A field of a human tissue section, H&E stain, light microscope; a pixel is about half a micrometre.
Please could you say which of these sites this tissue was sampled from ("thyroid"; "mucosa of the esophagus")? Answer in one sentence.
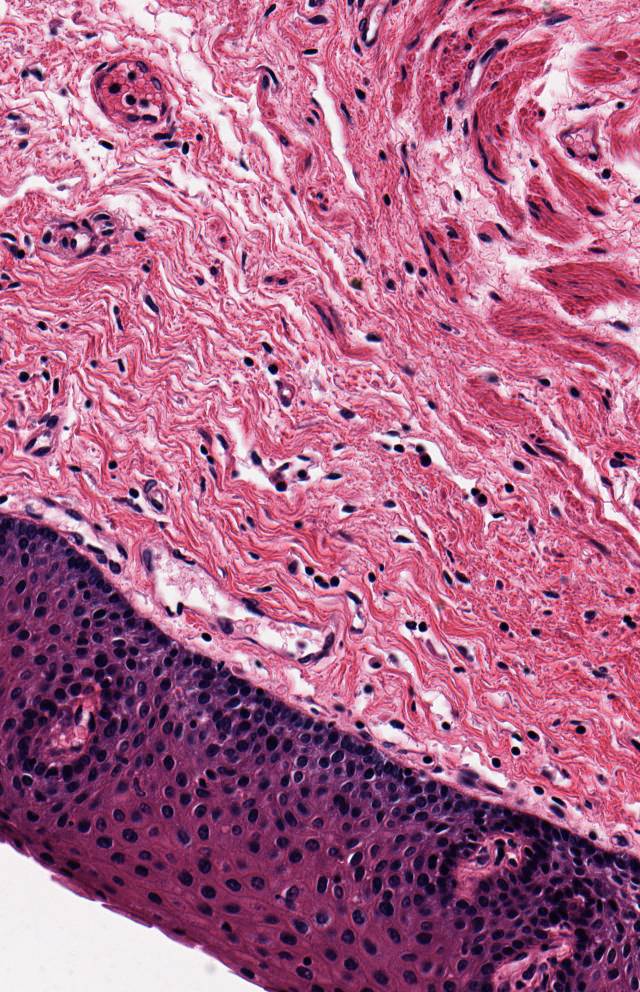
The site this tissue was sampled from is the mucosa of the esophagus.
